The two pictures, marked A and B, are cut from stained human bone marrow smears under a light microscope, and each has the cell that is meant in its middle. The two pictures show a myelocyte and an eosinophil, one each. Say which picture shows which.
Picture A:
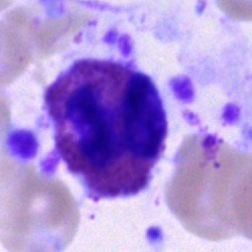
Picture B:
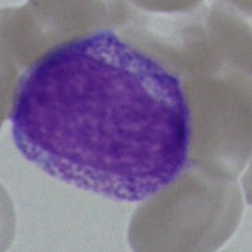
A: eosinophil
B: myelocyte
